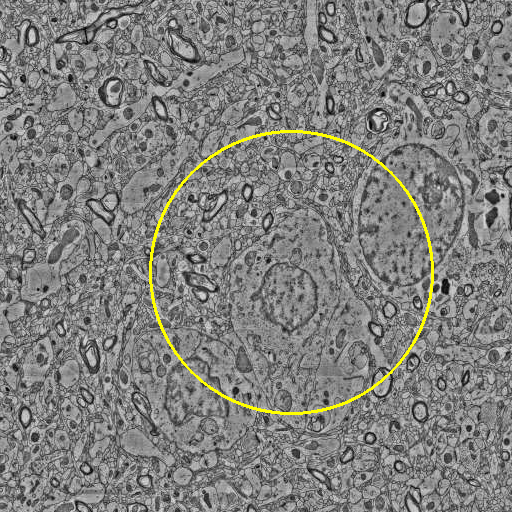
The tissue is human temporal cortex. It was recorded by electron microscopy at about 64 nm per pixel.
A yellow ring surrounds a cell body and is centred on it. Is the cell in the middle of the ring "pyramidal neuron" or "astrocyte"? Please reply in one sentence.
The ring is centred on a pyramidal neuron.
